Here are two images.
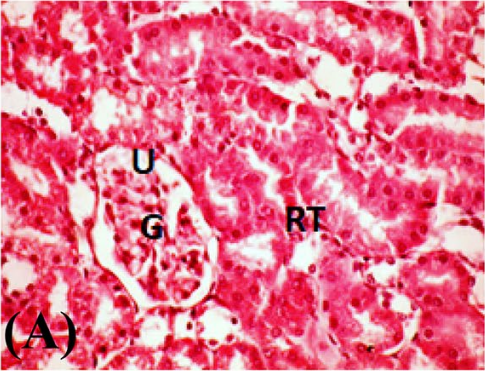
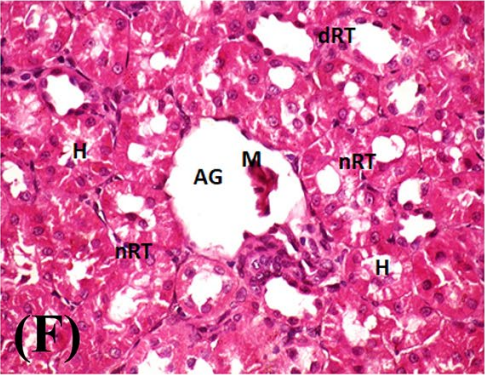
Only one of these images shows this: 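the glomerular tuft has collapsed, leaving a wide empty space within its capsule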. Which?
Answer: The second image.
